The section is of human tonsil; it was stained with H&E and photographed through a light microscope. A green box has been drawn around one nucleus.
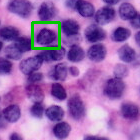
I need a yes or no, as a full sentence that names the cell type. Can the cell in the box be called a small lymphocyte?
Yes, it is accurate to say that the cell in the box is a small lymphocyte.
